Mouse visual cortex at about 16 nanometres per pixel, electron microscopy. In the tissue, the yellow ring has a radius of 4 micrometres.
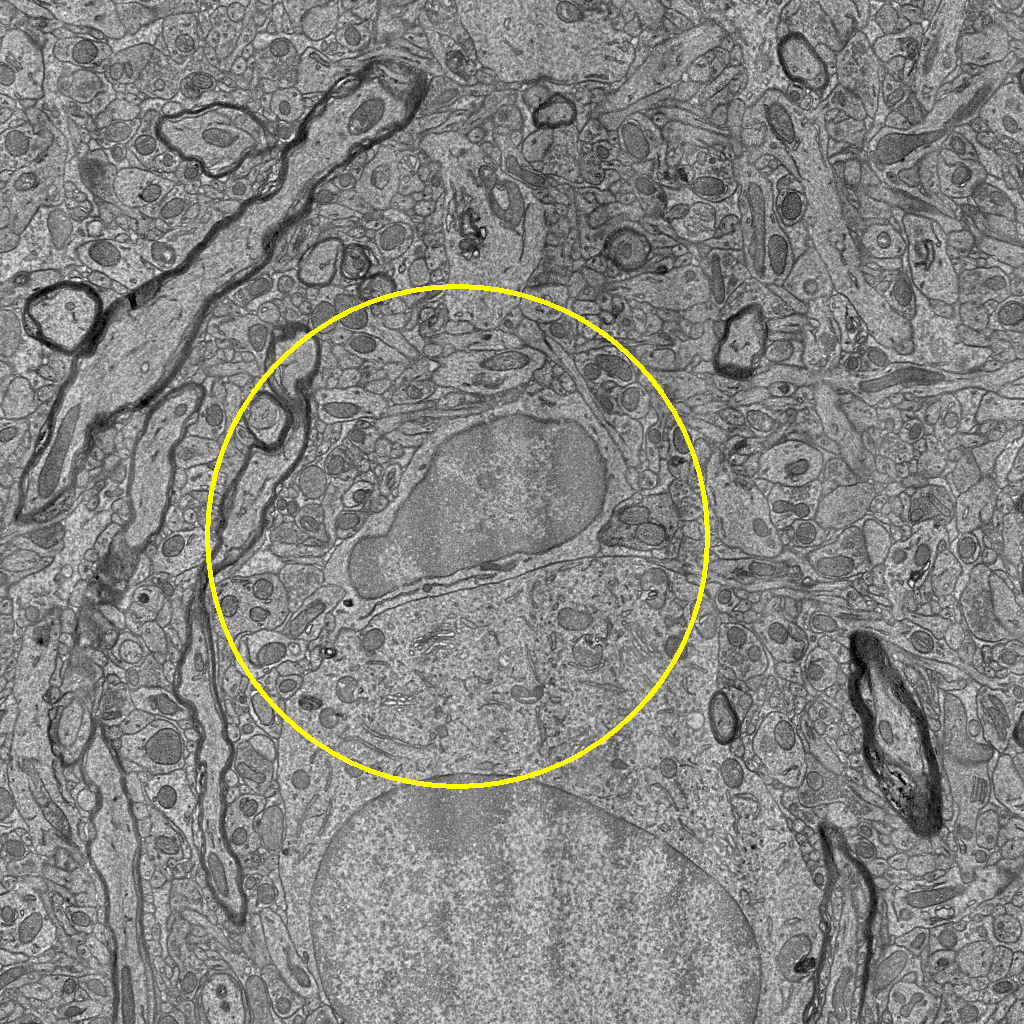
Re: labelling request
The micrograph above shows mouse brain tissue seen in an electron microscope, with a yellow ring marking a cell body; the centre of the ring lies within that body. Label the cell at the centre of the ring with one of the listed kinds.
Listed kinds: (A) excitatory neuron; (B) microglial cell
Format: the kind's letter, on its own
B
